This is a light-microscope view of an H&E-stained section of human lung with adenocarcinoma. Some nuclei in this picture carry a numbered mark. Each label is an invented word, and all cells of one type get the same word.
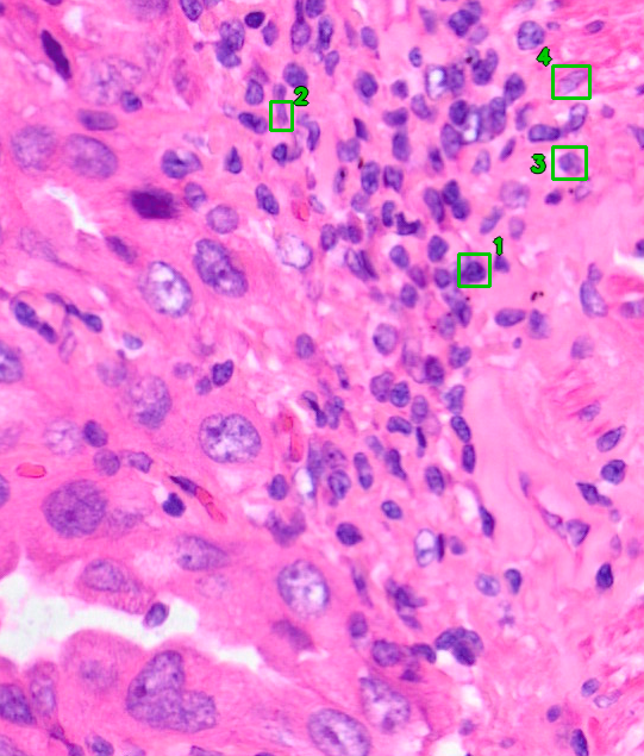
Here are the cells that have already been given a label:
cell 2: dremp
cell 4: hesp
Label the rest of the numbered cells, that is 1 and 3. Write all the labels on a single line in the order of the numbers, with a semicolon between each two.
dremp; dremp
